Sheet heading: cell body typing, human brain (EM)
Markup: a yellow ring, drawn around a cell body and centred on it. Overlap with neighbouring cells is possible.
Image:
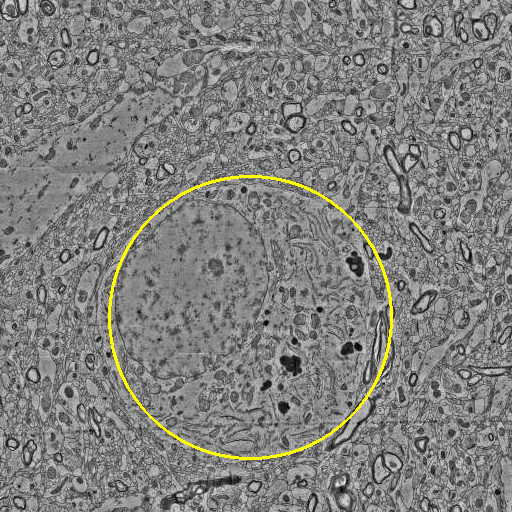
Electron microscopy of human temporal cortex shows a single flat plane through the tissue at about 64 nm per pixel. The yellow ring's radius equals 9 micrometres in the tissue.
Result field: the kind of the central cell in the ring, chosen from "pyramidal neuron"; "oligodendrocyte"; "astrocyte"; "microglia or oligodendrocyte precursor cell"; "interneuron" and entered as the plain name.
interneuron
